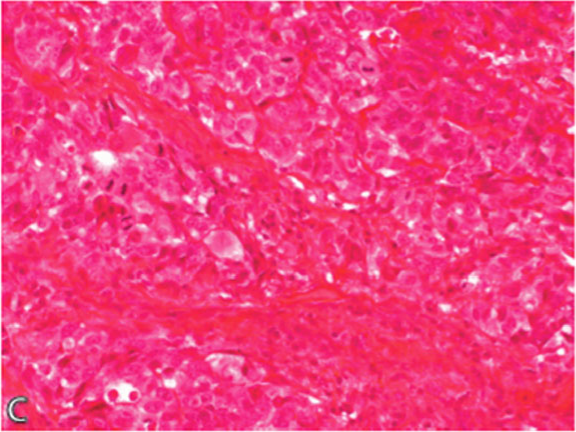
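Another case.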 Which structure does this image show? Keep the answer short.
Mitotic figures.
